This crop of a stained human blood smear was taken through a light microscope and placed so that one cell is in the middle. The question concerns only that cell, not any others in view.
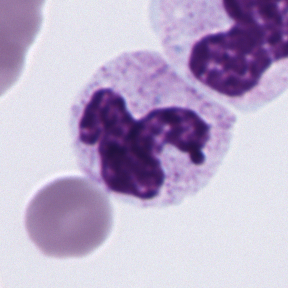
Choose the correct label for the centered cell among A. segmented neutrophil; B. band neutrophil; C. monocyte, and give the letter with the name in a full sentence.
Since the cell in the middle is a segmented neutrophil, option A is correct.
